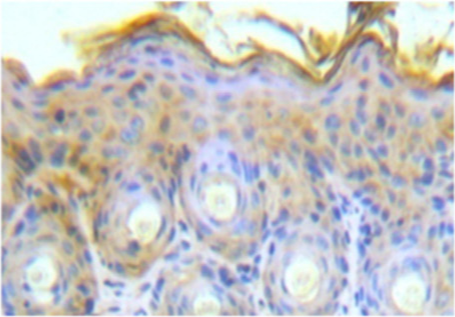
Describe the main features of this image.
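This is skin with a thick stratified epidermis of keratinocytes covered by a wavy, brown-edged cornified layer. The keratinocytes have round blue nuclei and pale brown cytoplasm, with the cells flattening towards the surface. Several hair follicles are cut in cross section, each a concentric ring of epithelial cells around a pale round shaft, set in connective tissue with scattered small nuclei.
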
